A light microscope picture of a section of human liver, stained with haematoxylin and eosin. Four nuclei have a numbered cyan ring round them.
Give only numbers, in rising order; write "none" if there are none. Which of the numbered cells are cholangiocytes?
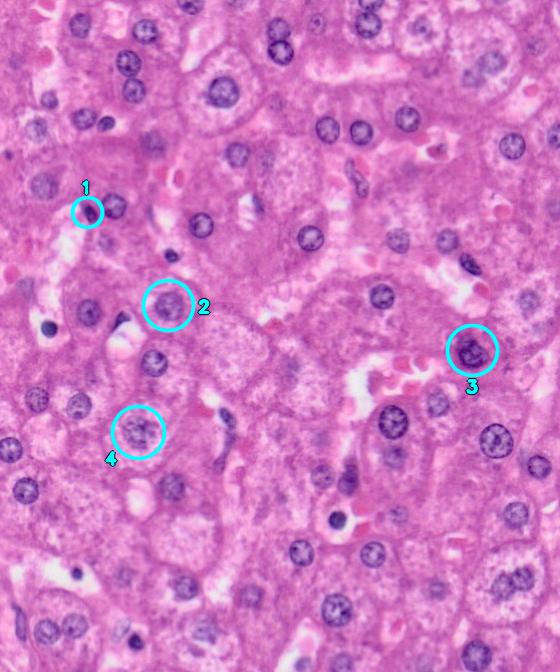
none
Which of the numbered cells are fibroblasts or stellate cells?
1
